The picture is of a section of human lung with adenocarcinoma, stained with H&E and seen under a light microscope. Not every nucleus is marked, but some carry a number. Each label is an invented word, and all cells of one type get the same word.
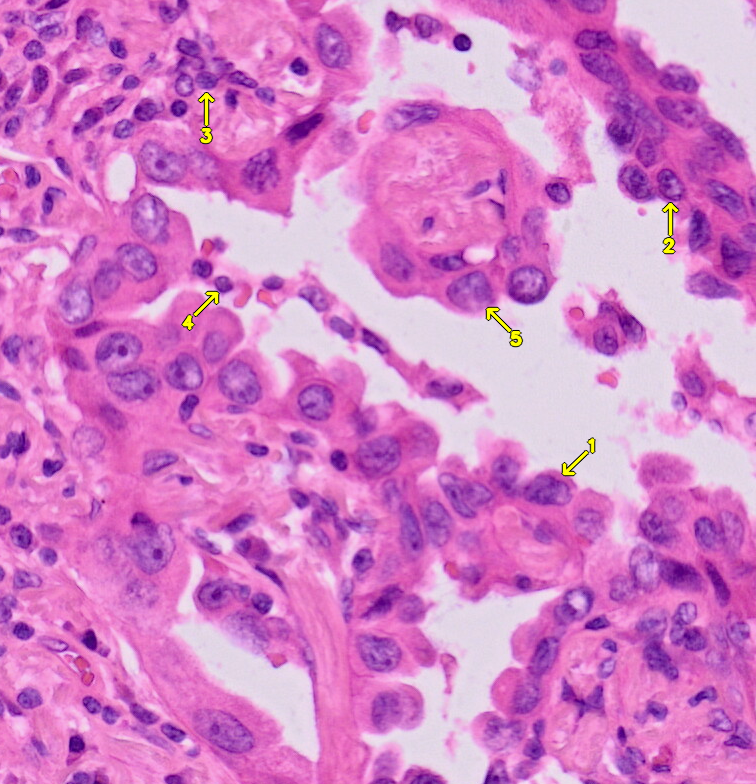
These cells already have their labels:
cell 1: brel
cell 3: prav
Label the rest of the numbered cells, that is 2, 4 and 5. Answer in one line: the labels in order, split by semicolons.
brel; prav; brel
